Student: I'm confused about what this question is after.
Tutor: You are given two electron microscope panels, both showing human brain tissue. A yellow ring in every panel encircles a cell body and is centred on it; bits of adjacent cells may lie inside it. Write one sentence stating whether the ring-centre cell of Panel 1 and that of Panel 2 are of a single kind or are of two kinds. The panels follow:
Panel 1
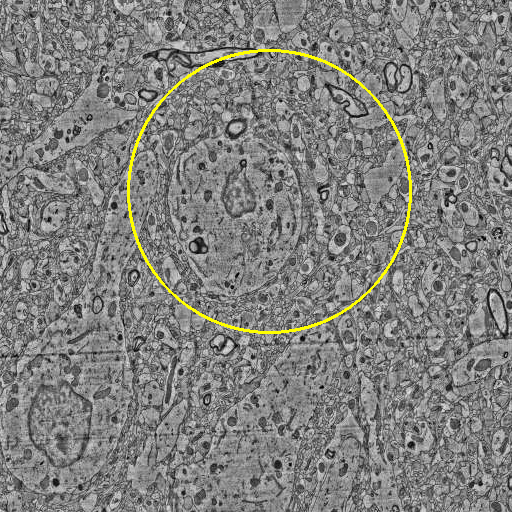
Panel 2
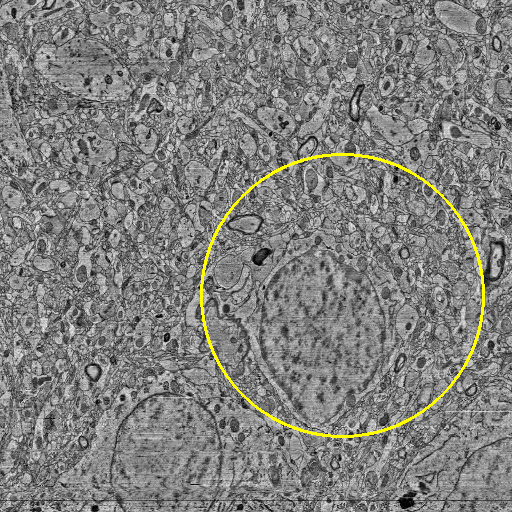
Here, the Panel 1 ring-centre cell and the Panel 2 ring-centre cell are of two kinds.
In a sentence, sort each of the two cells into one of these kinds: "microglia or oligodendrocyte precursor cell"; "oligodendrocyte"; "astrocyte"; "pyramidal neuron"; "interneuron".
The first of the two cells is a pyramidal neuron, and the second is an interneuron.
